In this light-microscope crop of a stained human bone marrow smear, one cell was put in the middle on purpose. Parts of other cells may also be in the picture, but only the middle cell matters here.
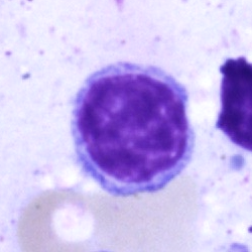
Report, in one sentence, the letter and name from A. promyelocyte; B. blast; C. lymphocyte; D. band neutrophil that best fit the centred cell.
Correctly, option C names the cell in the middle a lymphocyte.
